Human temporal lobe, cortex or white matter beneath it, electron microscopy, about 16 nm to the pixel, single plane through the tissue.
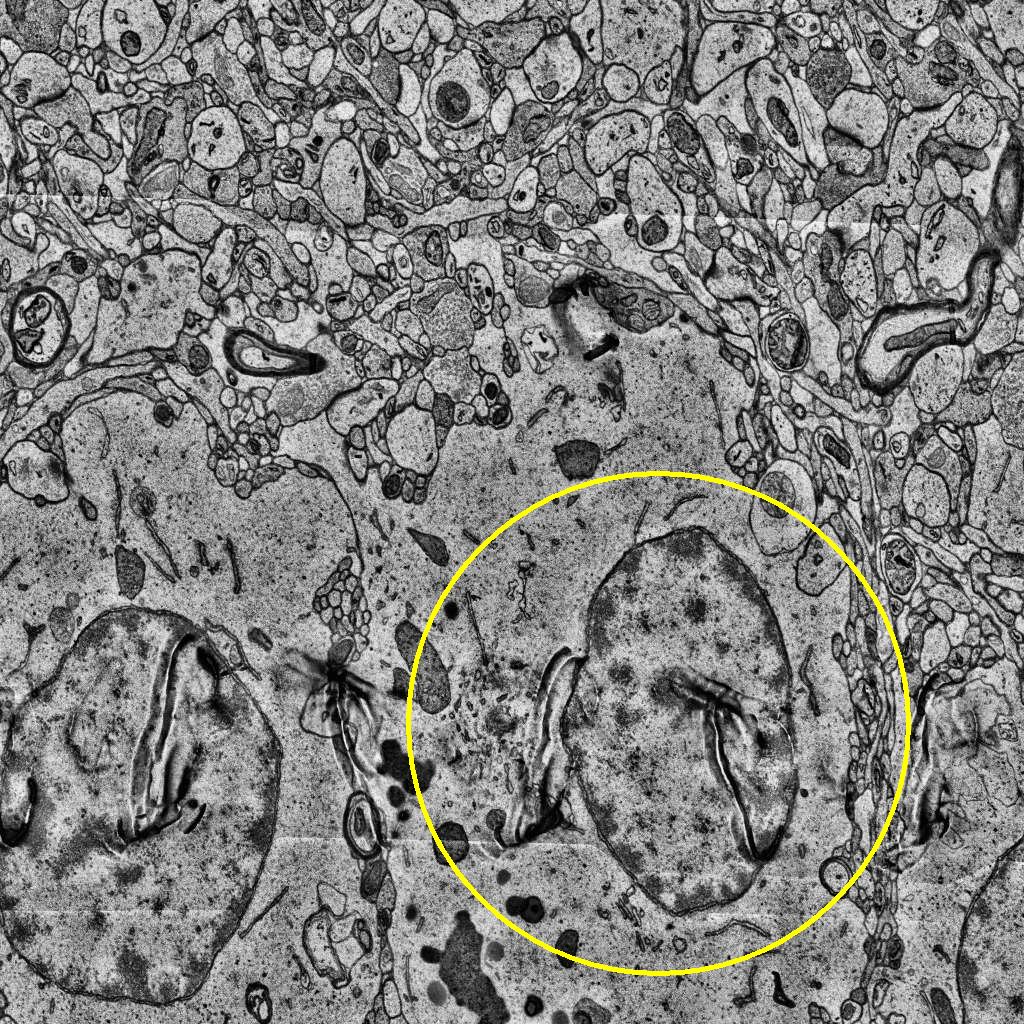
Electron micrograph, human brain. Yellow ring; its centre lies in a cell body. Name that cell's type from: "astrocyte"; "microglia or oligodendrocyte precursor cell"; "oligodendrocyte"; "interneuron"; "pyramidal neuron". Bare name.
astrocyte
